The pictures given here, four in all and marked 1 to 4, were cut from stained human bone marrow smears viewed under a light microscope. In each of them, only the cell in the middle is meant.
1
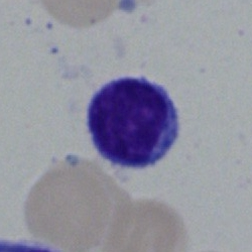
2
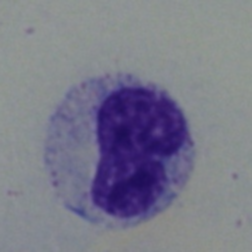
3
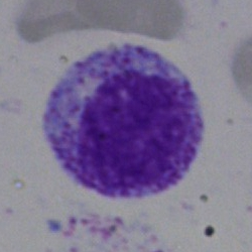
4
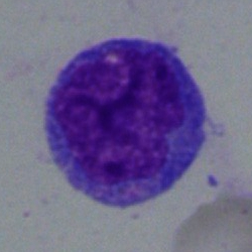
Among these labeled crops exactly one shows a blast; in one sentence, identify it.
Look at crop 4; that is the one with a blast in its center.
